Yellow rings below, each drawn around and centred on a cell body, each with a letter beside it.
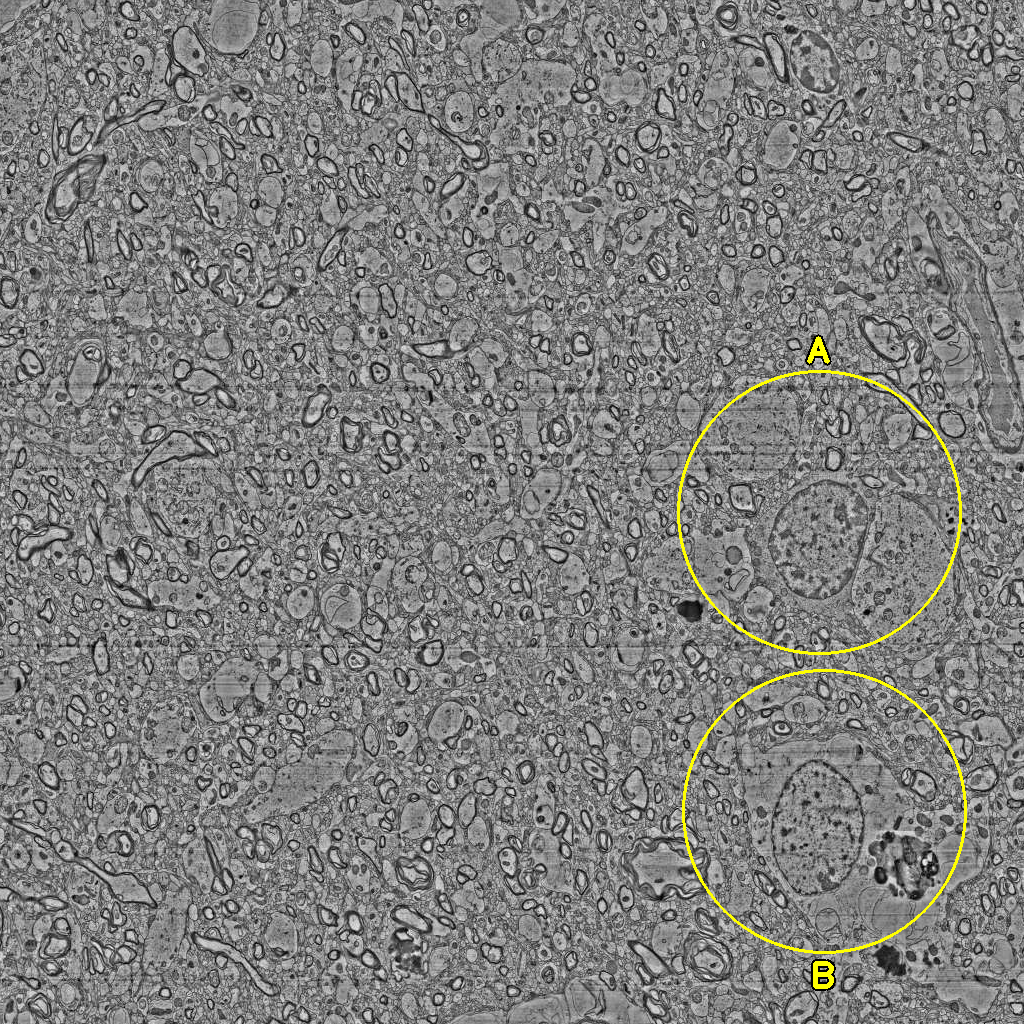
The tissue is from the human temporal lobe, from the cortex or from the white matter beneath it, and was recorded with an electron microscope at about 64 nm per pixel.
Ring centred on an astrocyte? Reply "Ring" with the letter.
Ring B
